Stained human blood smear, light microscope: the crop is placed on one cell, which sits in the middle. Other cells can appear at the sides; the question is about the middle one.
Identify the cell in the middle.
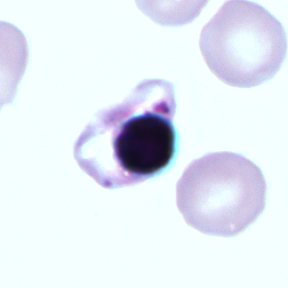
normoblast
